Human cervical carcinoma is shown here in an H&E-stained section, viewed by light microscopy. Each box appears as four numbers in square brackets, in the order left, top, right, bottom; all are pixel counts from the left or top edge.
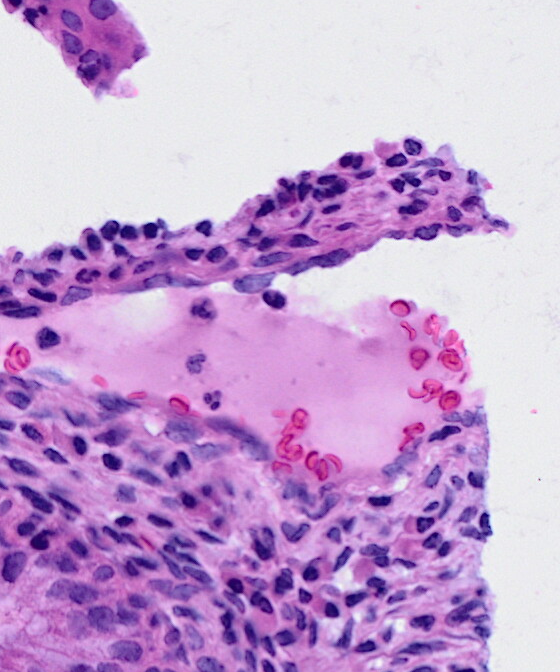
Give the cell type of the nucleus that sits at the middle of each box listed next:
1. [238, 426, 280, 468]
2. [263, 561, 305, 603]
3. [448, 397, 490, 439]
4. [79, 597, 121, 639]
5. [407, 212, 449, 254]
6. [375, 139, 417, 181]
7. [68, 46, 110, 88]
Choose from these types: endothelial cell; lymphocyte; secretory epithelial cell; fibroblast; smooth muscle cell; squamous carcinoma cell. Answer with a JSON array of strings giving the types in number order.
["endothelial cell", "lymphocyte", "endothelial cell", "secretory epithelial cell", "endothelial cell", "lymphocyte", "secretory epithelial cell"]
